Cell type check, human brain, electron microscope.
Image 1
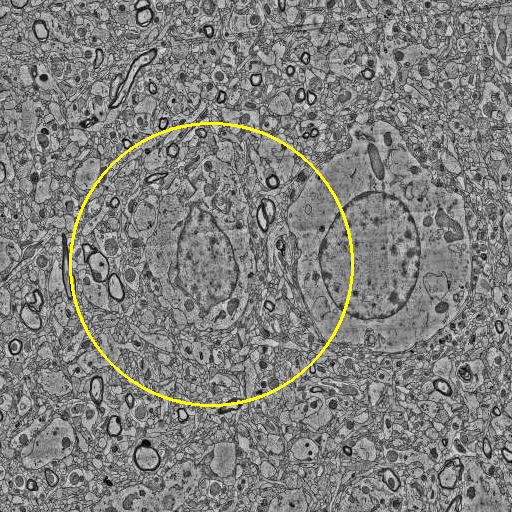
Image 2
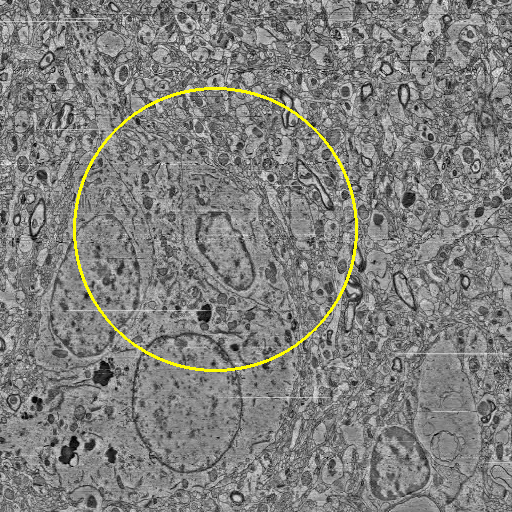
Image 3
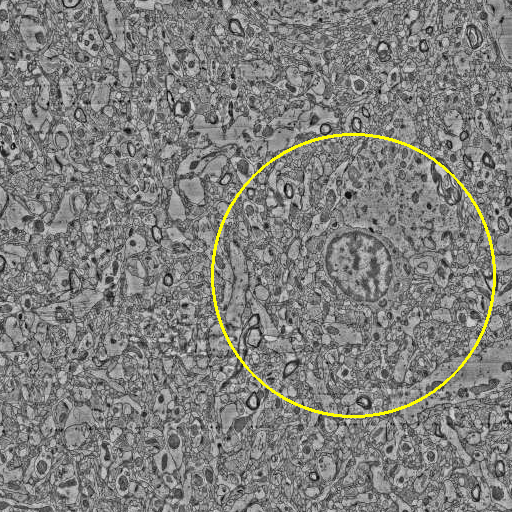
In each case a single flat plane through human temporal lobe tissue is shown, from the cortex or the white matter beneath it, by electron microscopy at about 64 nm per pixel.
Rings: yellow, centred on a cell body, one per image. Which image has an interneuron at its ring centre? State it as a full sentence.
The ring in Image 1 is centred on it.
